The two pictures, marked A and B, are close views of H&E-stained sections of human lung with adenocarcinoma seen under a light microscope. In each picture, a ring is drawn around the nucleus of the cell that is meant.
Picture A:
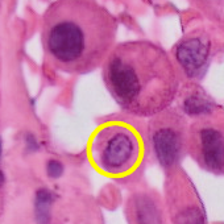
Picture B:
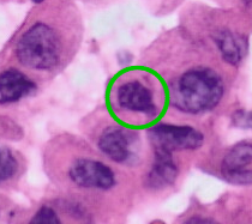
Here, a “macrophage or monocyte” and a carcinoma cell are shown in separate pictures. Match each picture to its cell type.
A: macrophage or monocyte
B: carcinoma cell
